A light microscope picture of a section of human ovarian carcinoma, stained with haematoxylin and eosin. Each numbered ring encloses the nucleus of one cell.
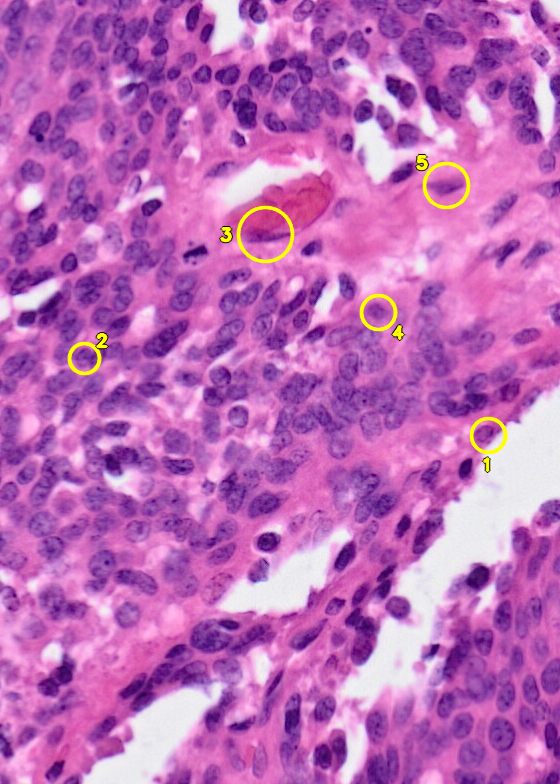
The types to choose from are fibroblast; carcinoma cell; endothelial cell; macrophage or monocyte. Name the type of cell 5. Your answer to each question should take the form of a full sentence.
Identified by the number 5, the cell is a fibroblast.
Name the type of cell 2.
Cell number 2 in this section is a carcinoma cell.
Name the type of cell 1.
The cell indicated by marker 1 is a macrophage or monocyte in this section.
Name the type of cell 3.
The correct answer for cell 3 is an endothelial cell.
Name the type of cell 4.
Cell 4, among those numbered, is a carcinoma cell.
